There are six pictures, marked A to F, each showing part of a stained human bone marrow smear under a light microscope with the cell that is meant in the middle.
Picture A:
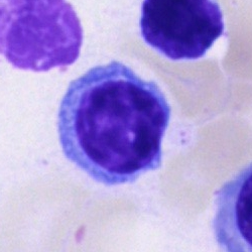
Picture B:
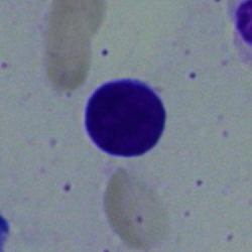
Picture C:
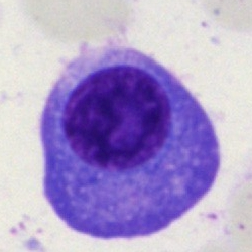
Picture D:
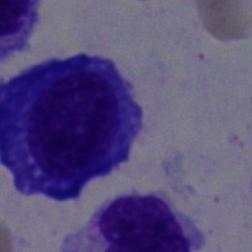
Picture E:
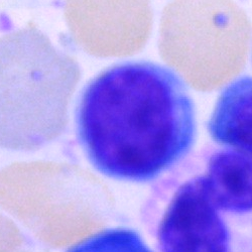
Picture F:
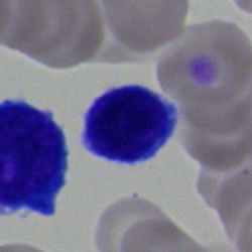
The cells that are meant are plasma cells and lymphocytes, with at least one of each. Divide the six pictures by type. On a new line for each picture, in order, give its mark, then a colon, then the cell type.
A: lymphocyte
B: lymphocyte
C: plasma cell
D: plasma cell
E: lymphocyte
F: lymphocyte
